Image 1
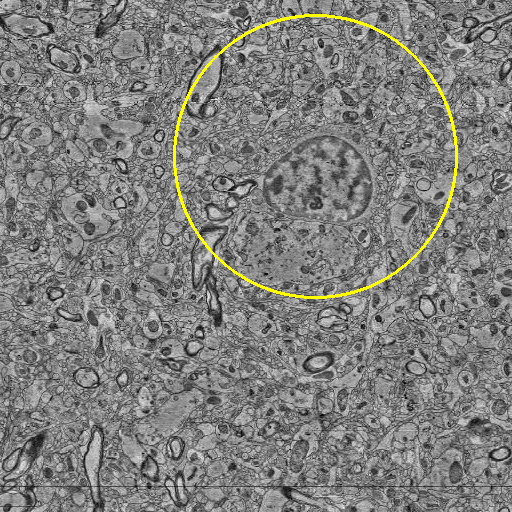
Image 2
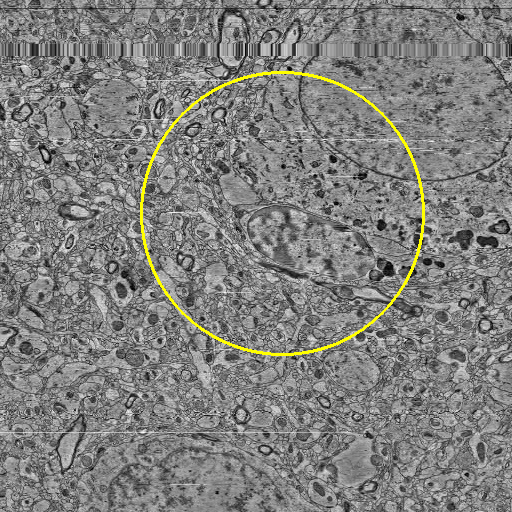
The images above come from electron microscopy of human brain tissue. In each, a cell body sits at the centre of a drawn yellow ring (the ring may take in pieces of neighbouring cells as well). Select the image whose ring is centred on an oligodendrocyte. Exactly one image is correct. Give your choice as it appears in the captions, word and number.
Image 1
